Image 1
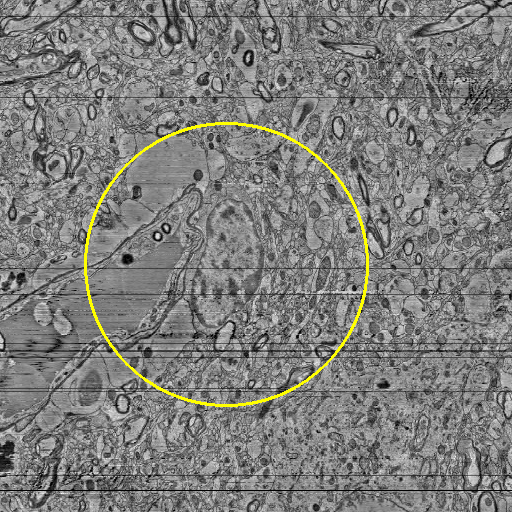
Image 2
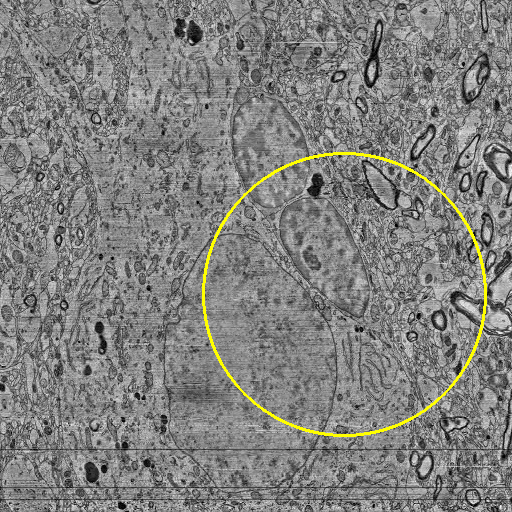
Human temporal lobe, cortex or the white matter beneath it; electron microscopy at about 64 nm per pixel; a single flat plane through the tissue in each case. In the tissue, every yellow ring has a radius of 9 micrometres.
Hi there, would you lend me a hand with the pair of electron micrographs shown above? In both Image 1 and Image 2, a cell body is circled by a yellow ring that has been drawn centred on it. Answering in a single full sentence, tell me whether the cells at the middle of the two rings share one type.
Yes, the ringed cells in Image 1 and Image 2 share one type.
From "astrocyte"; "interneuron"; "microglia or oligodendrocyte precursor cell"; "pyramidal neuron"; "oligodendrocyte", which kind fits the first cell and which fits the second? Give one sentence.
Both rings mark an oligodendrocyte, one in each picture.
